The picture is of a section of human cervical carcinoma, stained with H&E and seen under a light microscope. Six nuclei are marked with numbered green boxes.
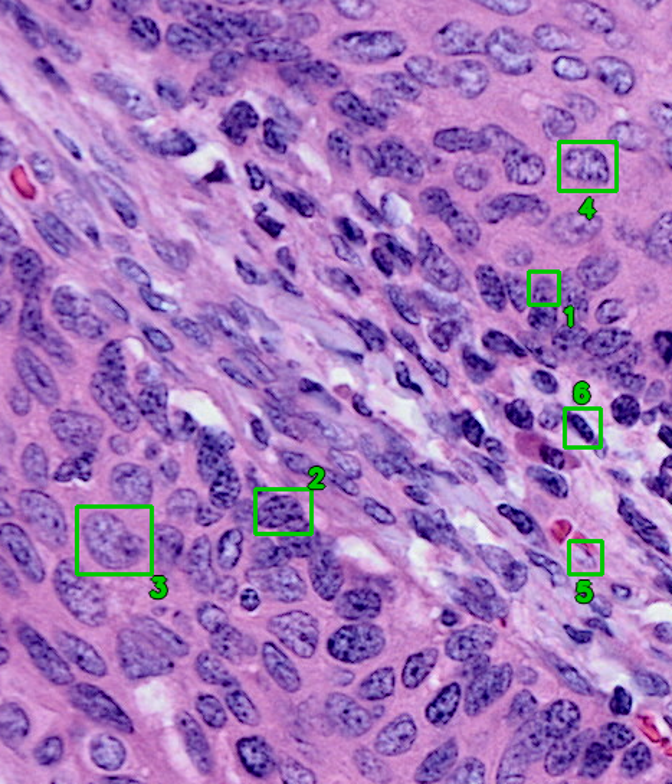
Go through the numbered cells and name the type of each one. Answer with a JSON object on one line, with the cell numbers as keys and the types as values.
{"1": "squamous carcinoma cell", "2": "squamous carcinoma cell", "3": "squamous carcinoma cell", "4": "squamous carcinoma cell", "5": "endothelial cell", "6": "lymphocyte"}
